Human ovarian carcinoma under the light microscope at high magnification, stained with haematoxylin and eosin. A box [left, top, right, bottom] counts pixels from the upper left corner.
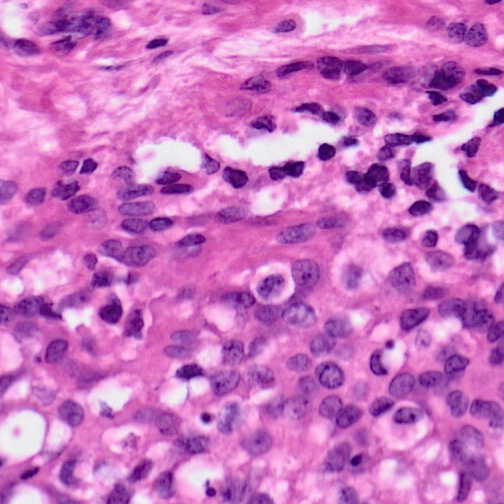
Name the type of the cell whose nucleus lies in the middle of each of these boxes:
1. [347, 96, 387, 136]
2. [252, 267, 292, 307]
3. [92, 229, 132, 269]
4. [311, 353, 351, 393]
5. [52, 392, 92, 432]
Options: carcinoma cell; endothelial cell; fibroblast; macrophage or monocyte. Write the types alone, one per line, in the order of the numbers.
macrophage or monocyte
macrophage or monocyte
carcinoma cell
carcinoma cell
carcinoma cell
